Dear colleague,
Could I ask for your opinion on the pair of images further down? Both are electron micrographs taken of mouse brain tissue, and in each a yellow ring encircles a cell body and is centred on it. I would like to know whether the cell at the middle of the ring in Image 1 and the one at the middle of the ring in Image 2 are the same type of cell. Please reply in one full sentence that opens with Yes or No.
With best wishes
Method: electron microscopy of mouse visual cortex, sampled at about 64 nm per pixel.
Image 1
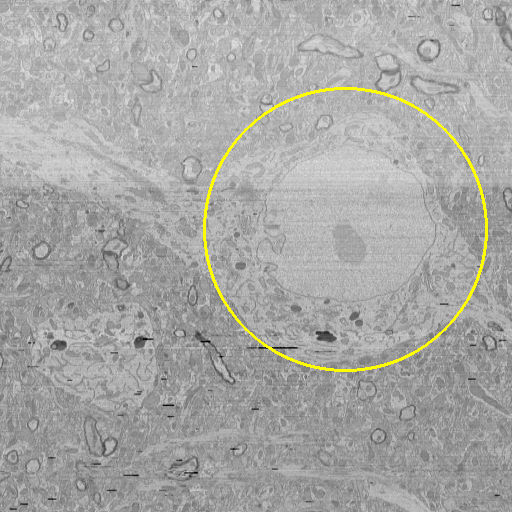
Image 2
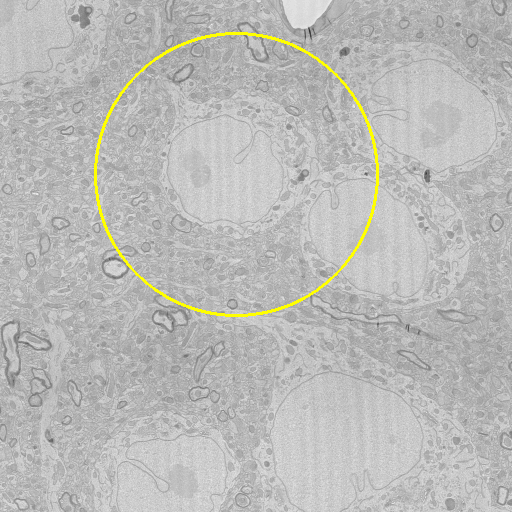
Yes, the cells at the ring centres in Image 1 and Image 2 are of one type.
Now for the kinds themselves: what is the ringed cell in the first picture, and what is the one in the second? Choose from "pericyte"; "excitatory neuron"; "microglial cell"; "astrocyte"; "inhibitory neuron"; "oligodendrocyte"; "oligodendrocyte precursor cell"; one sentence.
Each of the two rings surrounds an excitatory neuron.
